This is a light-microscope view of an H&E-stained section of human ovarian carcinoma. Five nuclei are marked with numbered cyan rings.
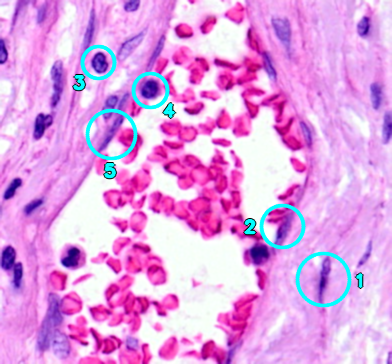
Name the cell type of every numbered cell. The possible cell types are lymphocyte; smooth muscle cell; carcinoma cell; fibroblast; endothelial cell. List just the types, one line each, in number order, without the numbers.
fibroblast
endothelial cell
lymphocyte
lymphocyte
endothelial cell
